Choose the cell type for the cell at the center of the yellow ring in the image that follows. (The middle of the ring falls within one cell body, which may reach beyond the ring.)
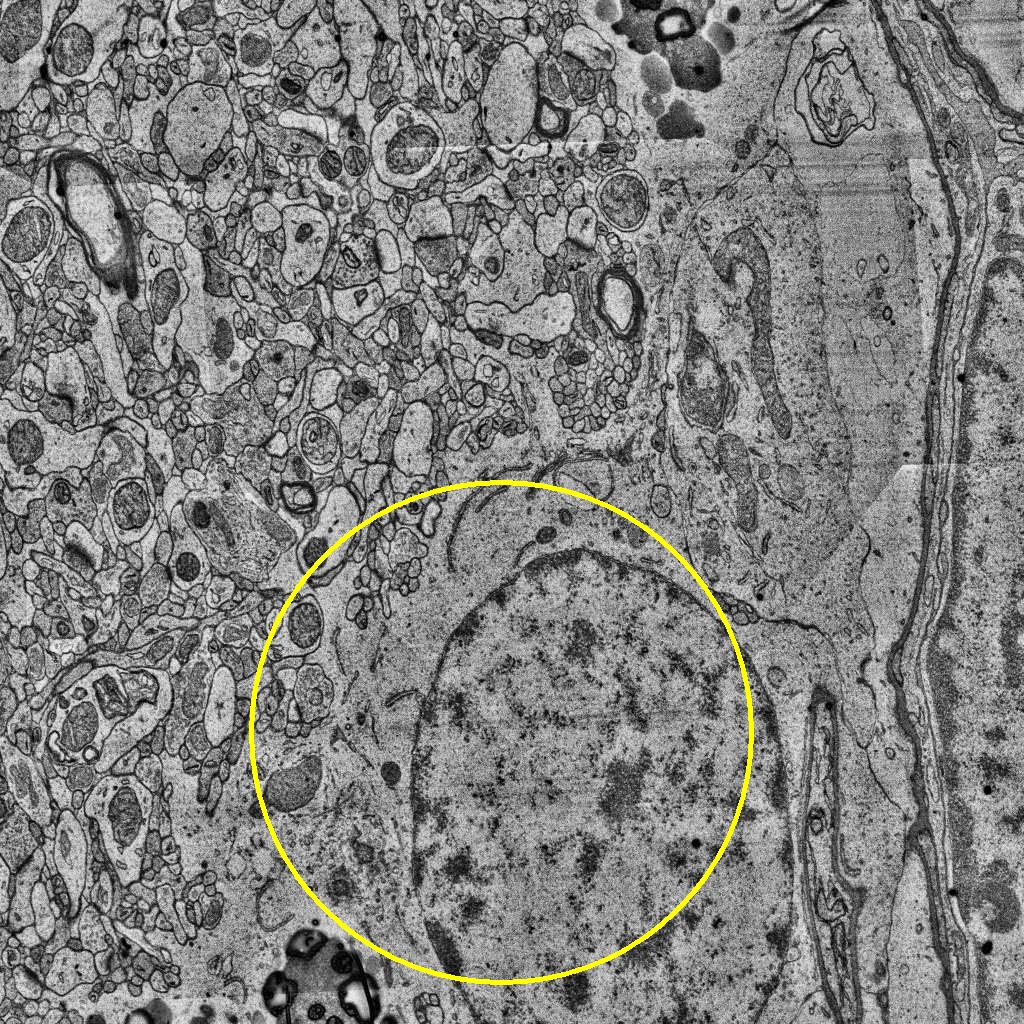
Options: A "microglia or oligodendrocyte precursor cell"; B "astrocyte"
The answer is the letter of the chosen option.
B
